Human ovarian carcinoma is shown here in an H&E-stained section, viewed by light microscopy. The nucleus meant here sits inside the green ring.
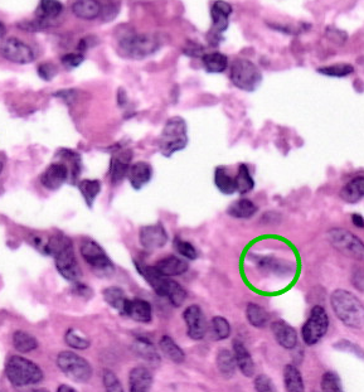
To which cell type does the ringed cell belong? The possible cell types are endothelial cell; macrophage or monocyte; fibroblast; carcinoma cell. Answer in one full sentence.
In this section of tissue, the ringed cell is an endothelial cell.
